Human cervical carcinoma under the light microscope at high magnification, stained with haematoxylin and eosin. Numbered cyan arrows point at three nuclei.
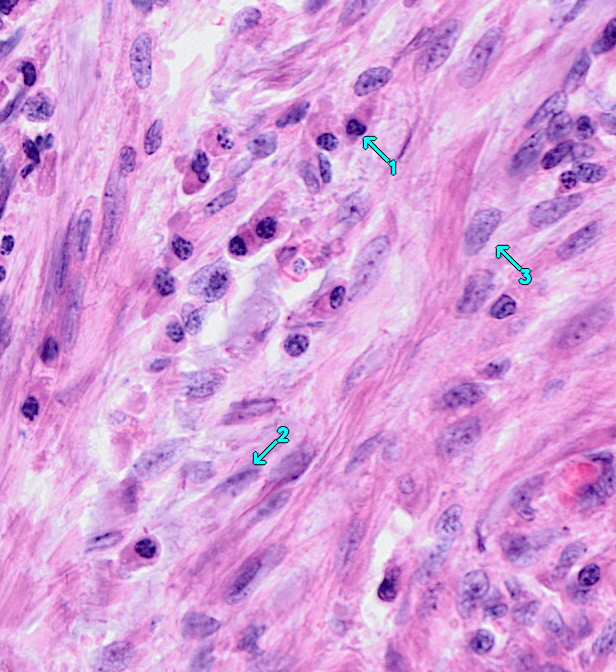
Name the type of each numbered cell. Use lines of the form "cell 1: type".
cell 1: lymphocyte
cell 2: fibroblast
cell 3: fibroblast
